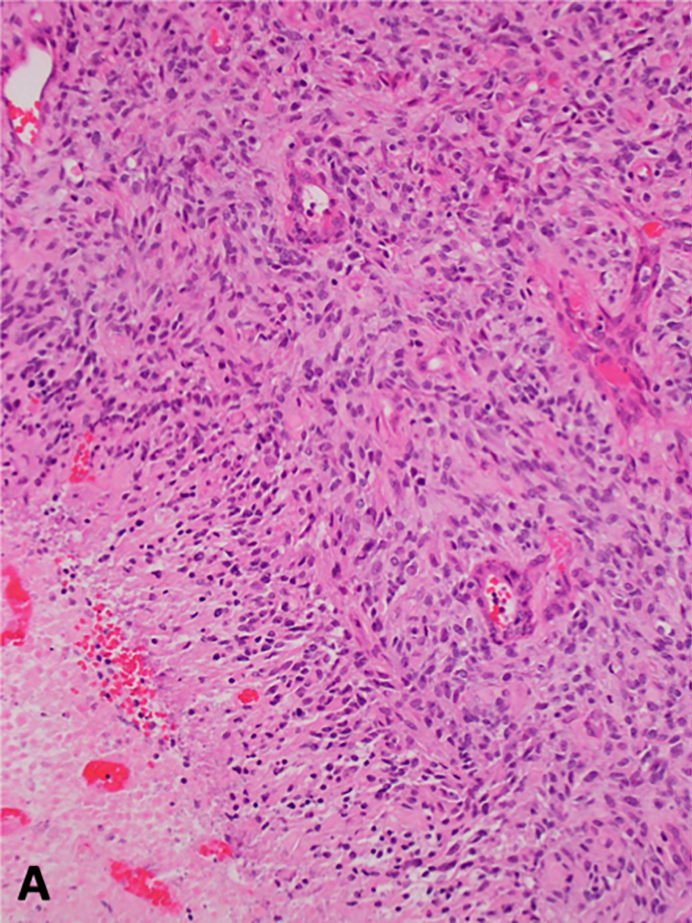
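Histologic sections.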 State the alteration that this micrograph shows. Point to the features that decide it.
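Small vessels have thick walls lined by plump cells. Several such vessels lie scattered among the tumor cells. That points to this answer: microvascular proliferation.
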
